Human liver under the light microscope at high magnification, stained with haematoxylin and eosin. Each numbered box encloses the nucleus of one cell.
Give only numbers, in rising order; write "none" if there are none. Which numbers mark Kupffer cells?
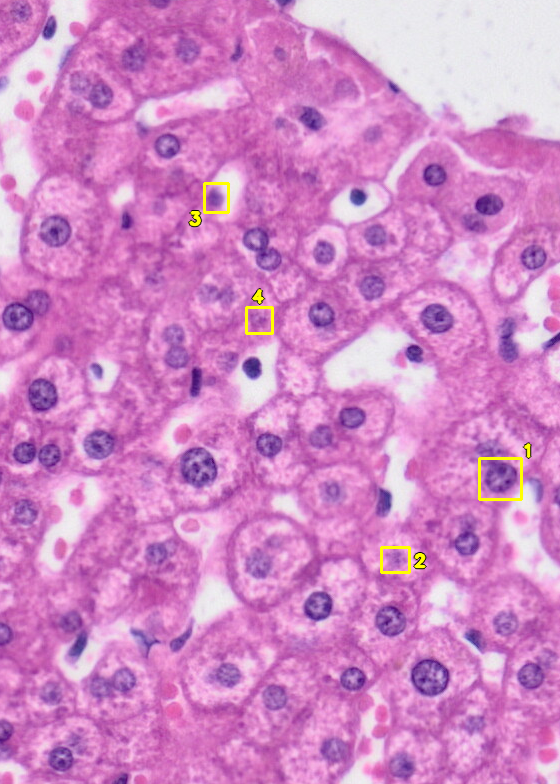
3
